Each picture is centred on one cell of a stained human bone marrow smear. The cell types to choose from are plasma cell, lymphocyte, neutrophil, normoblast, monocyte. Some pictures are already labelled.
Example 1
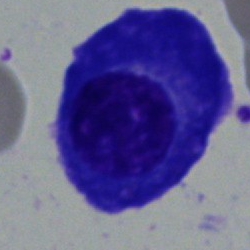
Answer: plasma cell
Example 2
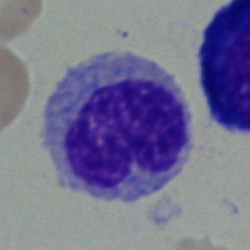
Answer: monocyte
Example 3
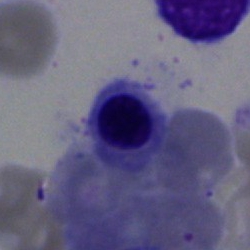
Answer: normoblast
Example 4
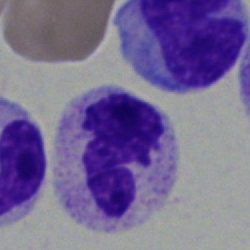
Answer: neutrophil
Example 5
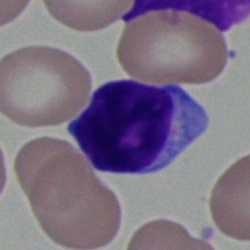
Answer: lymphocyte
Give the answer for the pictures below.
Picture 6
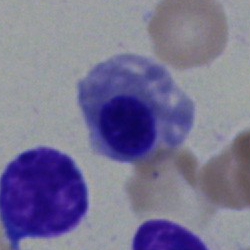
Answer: normoblast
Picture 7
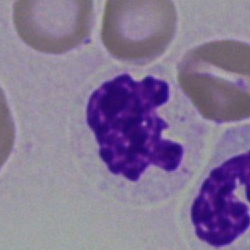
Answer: neutrophil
